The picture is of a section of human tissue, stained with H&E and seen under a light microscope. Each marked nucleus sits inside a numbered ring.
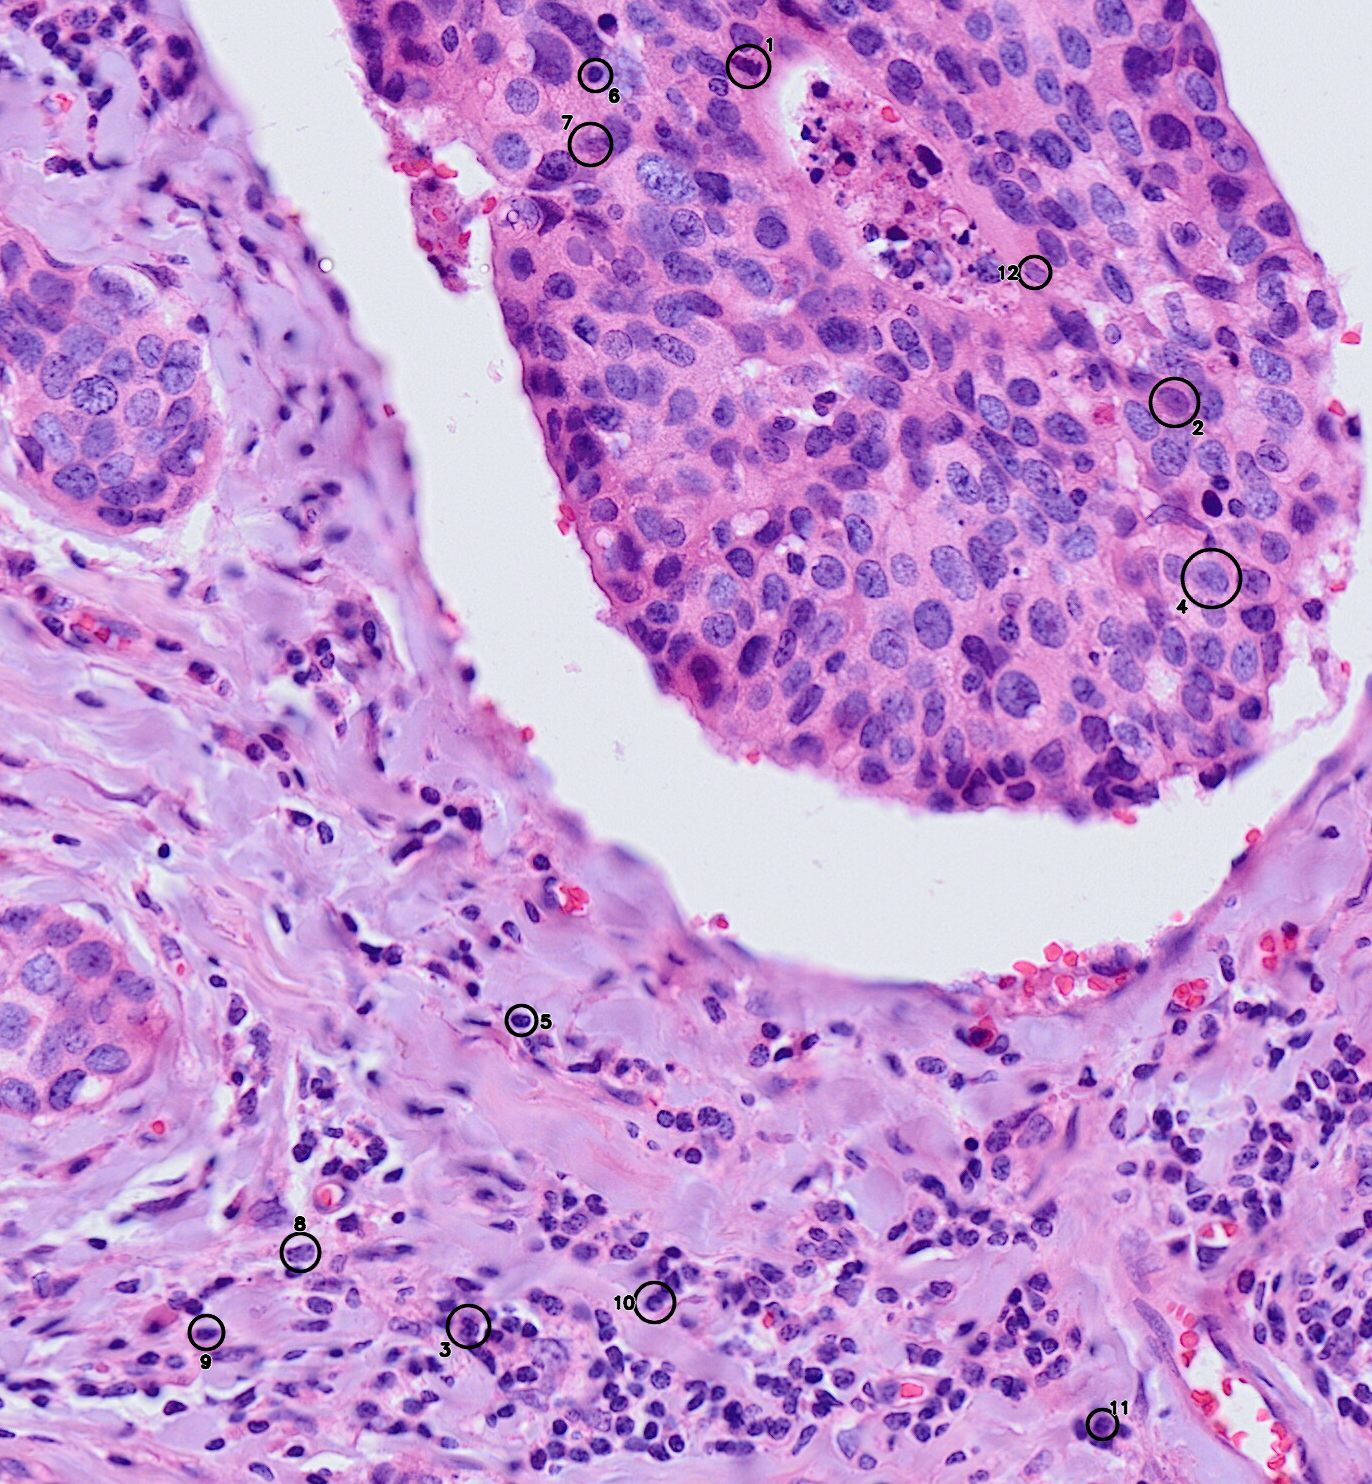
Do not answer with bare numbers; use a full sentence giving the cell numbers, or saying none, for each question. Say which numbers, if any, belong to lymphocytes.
The cells tagged 3, 5, 6, 8, 9, 10 and 11 are lymphocytes in this tissue section.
